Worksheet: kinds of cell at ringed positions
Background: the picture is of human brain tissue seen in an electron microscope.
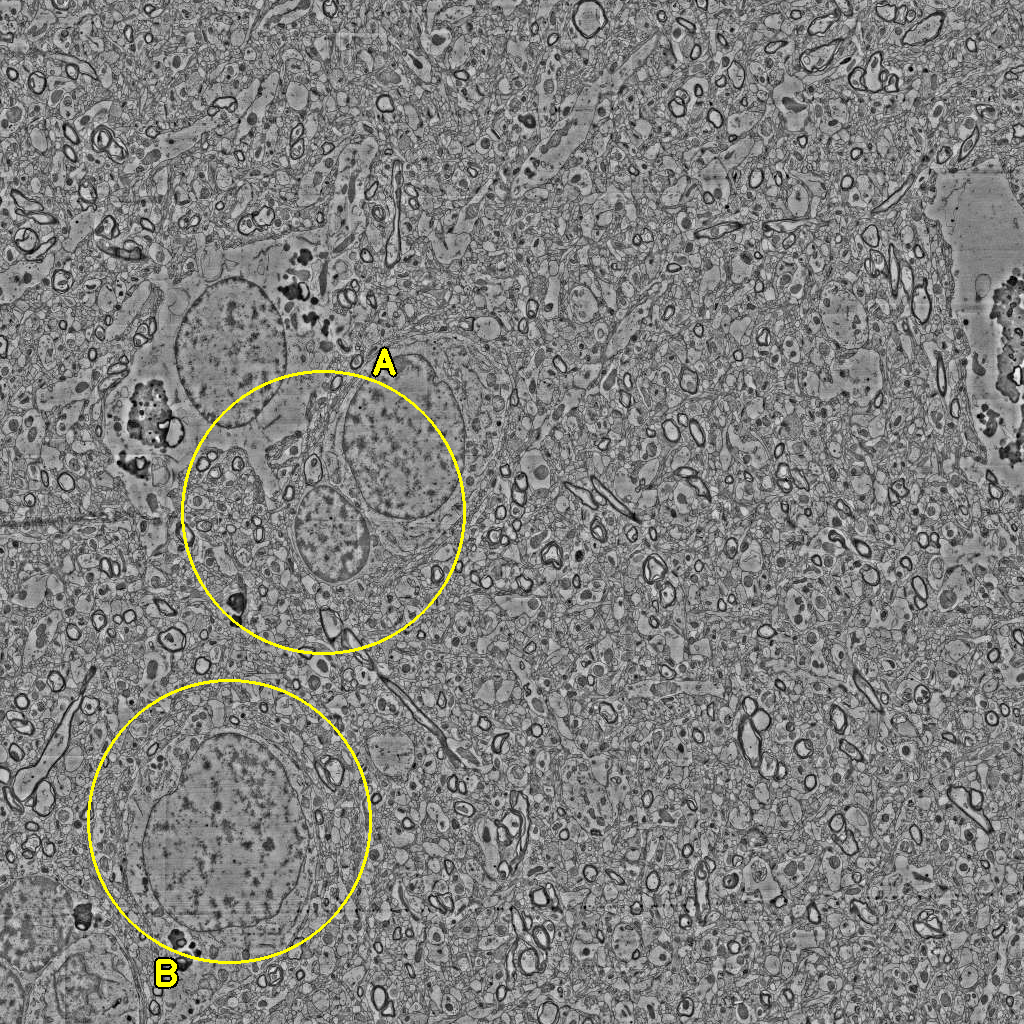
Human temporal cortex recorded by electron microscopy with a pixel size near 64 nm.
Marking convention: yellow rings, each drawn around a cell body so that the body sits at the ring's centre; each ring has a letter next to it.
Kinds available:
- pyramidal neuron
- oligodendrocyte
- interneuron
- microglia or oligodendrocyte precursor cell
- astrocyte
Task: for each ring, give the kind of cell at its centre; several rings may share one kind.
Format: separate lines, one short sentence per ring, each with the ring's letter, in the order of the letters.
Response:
Ring A is drawn around an oligodendrocyte.
Ring B is drawn around a pyramidal neuron.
